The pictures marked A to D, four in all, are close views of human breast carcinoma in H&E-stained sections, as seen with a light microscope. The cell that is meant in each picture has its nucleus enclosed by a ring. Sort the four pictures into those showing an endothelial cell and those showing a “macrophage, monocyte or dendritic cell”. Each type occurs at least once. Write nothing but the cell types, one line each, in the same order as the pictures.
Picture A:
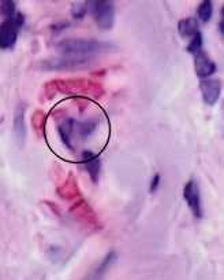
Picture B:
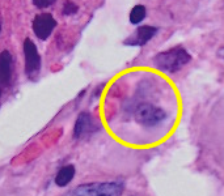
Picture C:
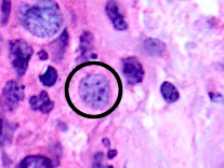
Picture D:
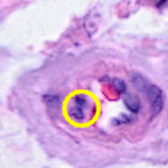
endothelial cell
endothelial cell
macrophage, monocyte or dendritic cell
endothelial cell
